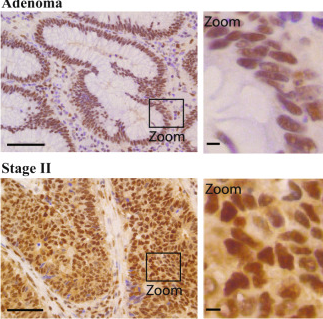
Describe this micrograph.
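In the upper images, glandular epithelium lines crypts with pale mucus-filled goblet cells, and the elongated columnar nuclei are stained brown while the cytoplasm stays pale. In the lower images, a solid, crowded tumor with large irregular nuclei shows brown stain in the nuclei and also in the cytoplasm around them.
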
